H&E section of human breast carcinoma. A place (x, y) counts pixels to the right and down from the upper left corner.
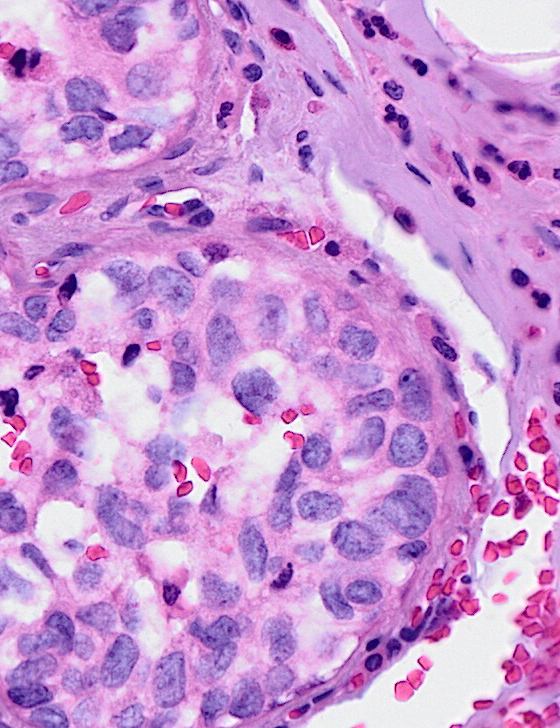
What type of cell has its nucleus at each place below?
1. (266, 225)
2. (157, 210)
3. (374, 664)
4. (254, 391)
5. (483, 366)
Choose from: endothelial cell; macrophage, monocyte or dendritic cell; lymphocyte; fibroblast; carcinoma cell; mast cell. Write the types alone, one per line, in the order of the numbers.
endothelial cell
endothelial cell
mast cell
carcinoma cell
fibroblast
